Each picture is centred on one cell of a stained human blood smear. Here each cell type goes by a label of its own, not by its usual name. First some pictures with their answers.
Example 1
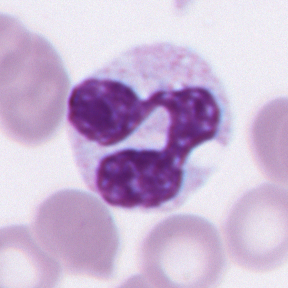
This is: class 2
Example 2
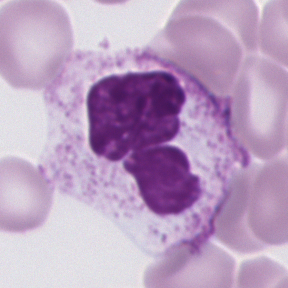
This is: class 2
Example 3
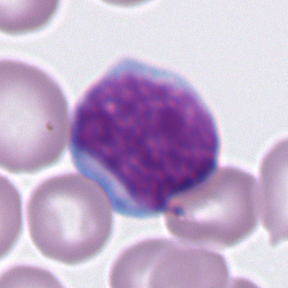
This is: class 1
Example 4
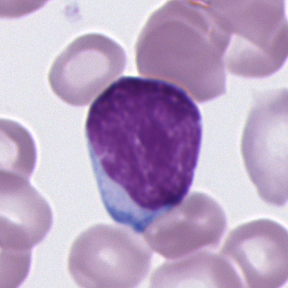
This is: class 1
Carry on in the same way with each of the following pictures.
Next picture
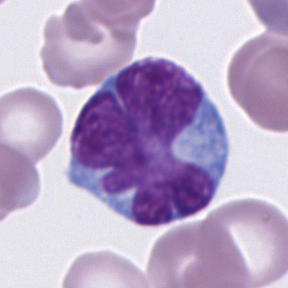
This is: class 1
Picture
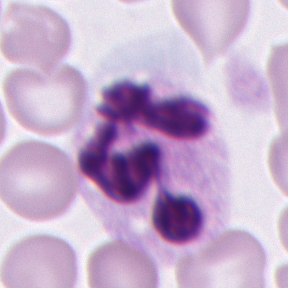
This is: class 2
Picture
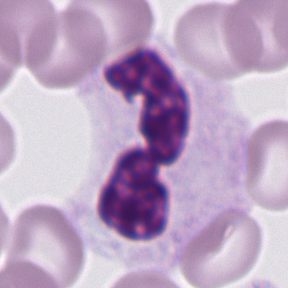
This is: class 2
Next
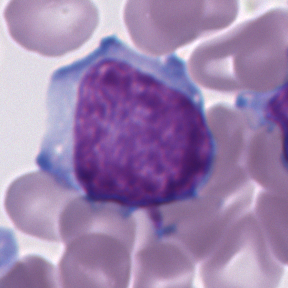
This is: class 1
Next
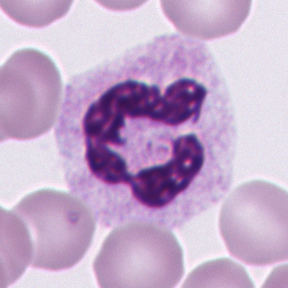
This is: class 2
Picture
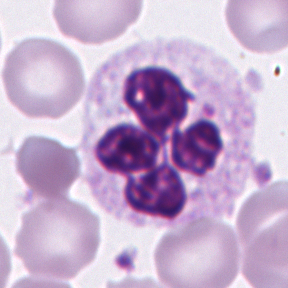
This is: class 2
